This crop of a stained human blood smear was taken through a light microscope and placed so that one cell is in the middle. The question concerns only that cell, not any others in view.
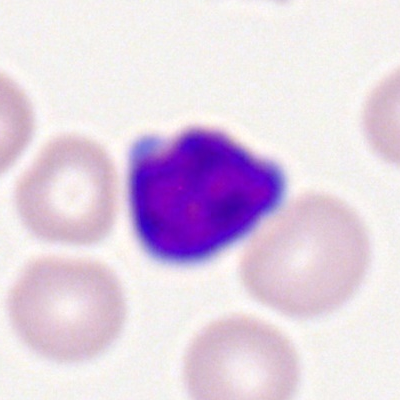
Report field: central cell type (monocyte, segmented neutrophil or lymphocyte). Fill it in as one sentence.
Here the cell in the middle is a lymphocyte.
